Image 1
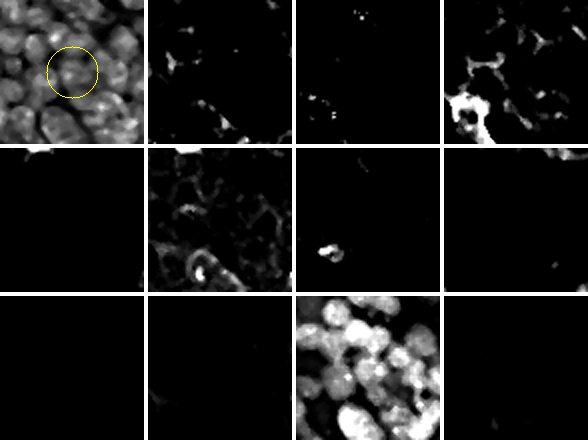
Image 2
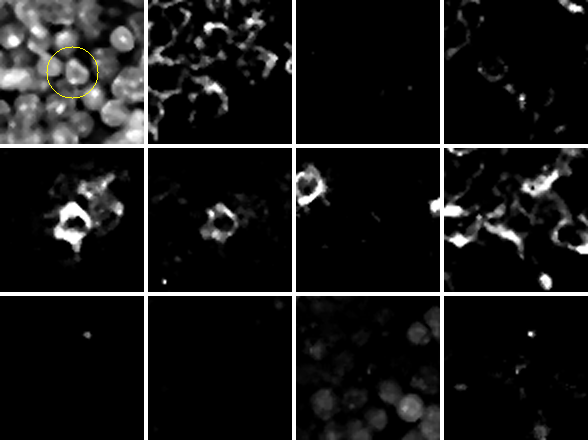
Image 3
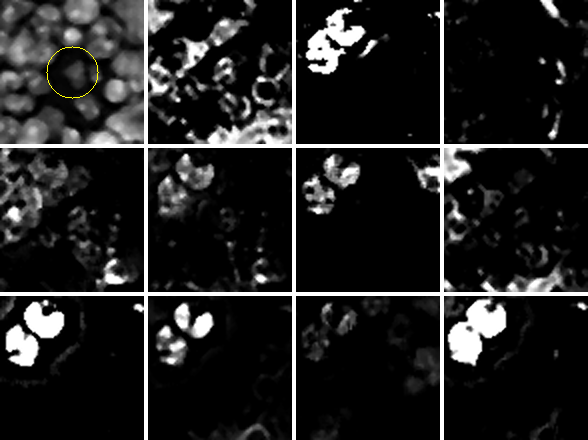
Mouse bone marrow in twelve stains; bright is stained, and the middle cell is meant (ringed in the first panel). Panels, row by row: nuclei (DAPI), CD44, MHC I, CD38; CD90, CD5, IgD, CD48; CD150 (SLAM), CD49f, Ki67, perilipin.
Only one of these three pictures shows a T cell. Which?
Picture 2.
